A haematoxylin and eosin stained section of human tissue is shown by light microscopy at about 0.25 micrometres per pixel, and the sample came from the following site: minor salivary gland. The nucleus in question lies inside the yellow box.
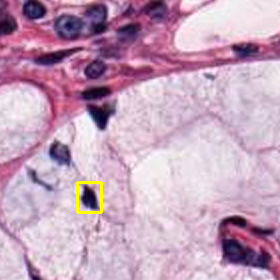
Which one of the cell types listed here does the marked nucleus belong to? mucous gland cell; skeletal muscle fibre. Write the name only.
mucous gland cell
